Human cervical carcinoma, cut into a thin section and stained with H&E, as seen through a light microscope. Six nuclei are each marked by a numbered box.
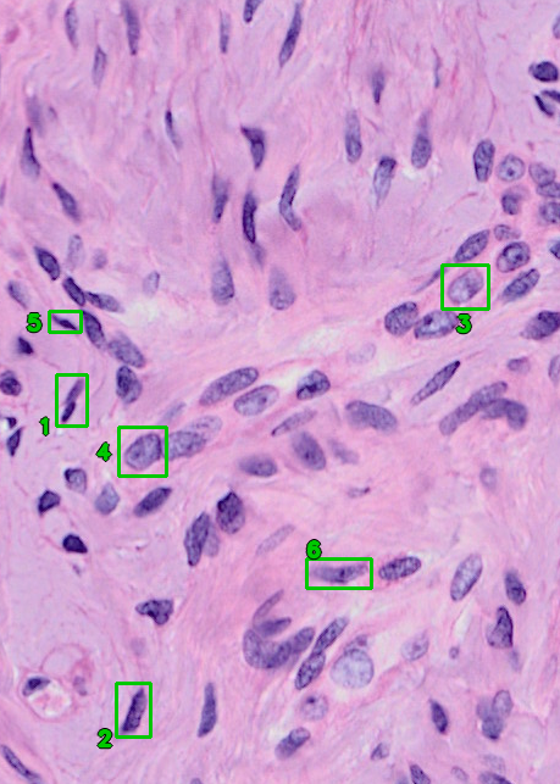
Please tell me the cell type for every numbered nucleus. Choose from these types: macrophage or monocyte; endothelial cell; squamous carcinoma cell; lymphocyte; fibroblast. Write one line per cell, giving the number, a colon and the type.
1: fibroblast
2: fibroblast
3: endothelial cell
4: endothelial cell
5: fibroblast
6: fibroblast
